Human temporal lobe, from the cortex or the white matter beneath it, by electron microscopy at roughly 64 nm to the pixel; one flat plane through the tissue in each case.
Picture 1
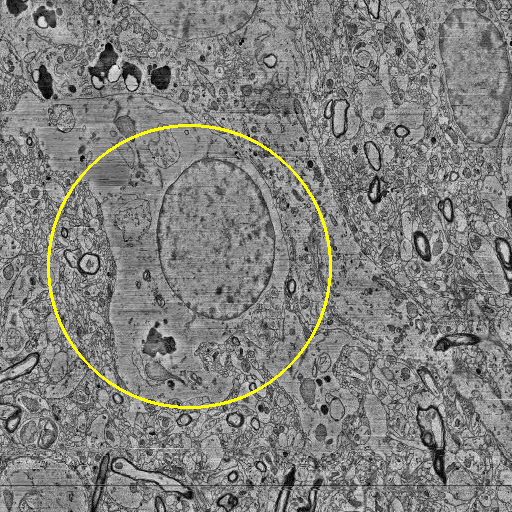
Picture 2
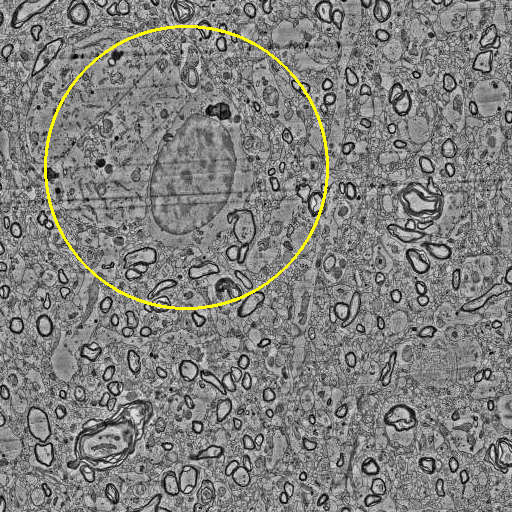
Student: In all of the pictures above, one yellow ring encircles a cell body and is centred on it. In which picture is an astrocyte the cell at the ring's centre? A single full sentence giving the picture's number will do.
Picture number 1 has the wanted cell right at the centre of its ring.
